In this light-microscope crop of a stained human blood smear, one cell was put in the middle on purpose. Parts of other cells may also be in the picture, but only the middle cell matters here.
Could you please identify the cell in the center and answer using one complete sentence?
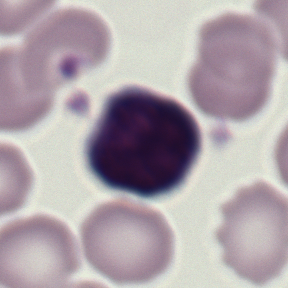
The target cell in the middle of the crop is a typical lymphocyte.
